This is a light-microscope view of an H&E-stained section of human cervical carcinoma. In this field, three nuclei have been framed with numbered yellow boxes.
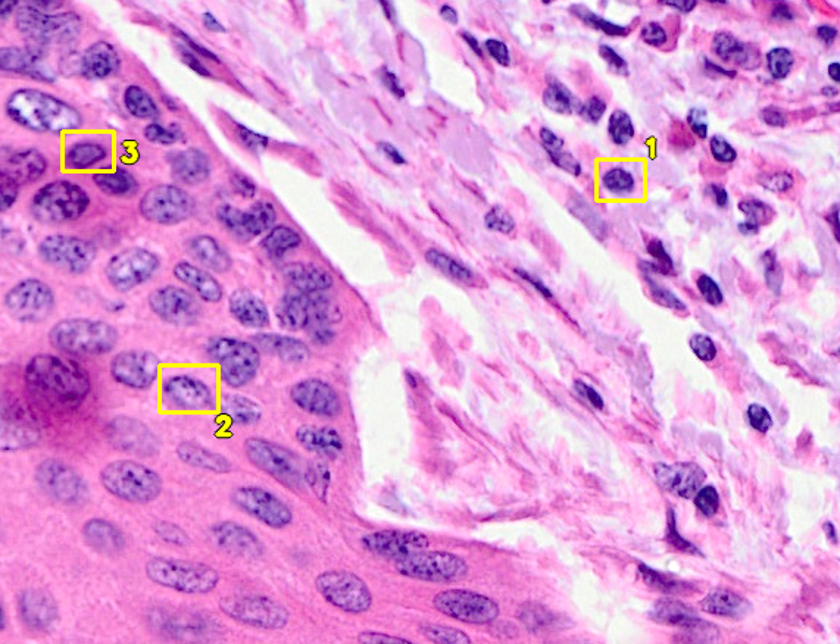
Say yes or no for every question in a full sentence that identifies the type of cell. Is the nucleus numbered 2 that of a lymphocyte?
No, number 2 is not a lymphocyte; it is a squamous carcinoma cell.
